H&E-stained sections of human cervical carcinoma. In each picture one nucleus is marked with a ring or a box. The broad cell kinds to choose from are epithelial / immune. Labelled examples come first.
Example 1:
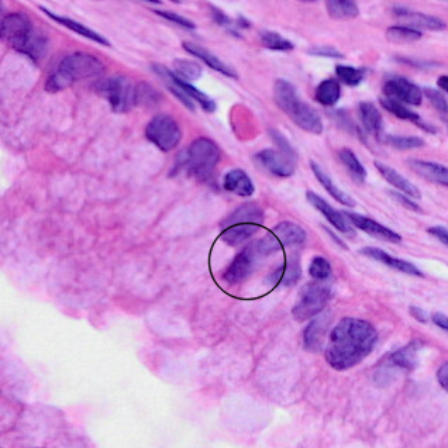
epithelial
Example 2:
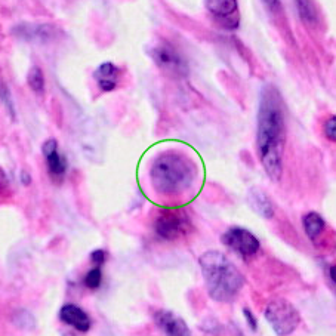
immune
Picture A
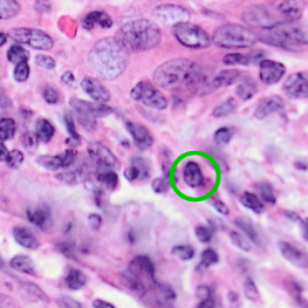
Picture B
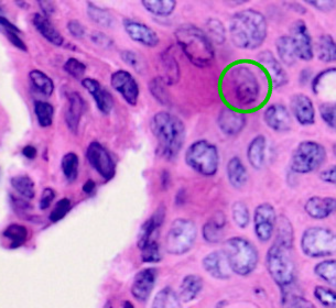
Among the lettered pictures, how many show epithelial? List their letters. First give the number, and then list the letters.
1, namely B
